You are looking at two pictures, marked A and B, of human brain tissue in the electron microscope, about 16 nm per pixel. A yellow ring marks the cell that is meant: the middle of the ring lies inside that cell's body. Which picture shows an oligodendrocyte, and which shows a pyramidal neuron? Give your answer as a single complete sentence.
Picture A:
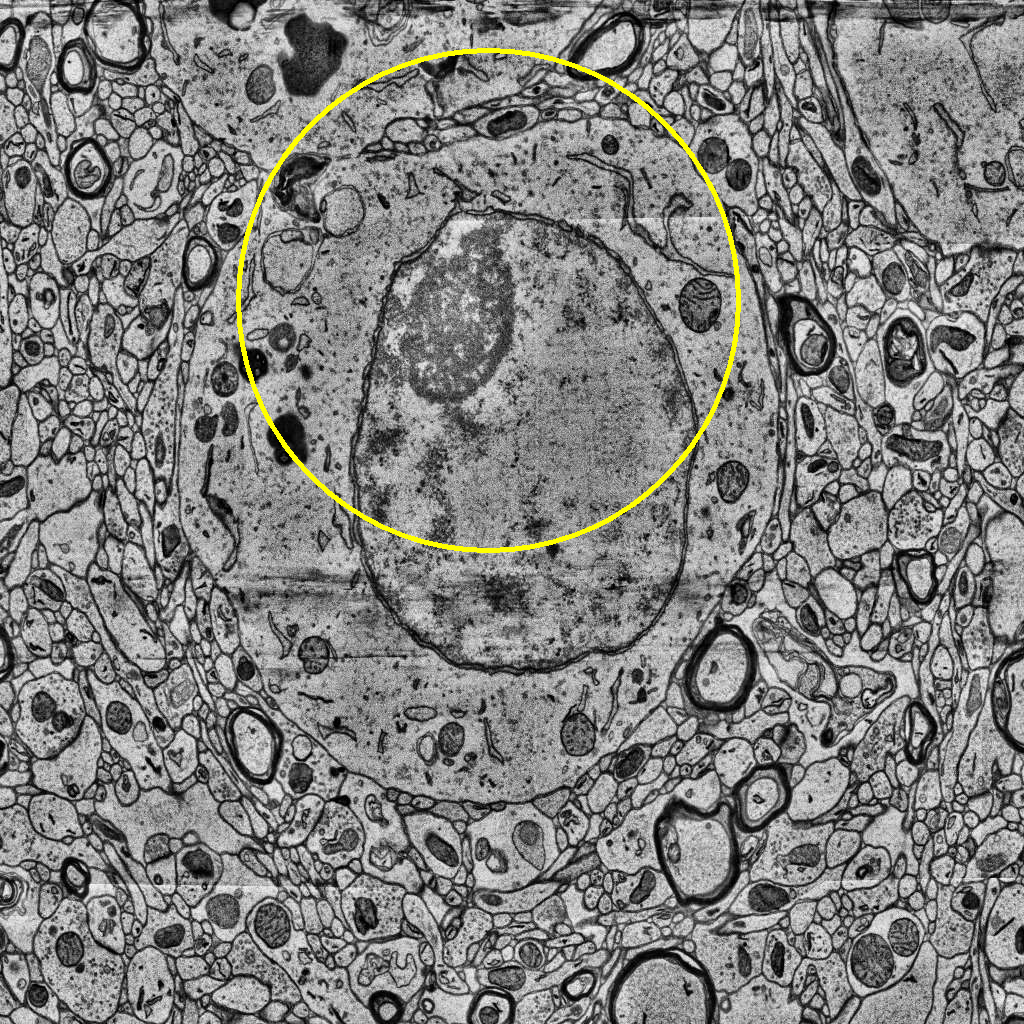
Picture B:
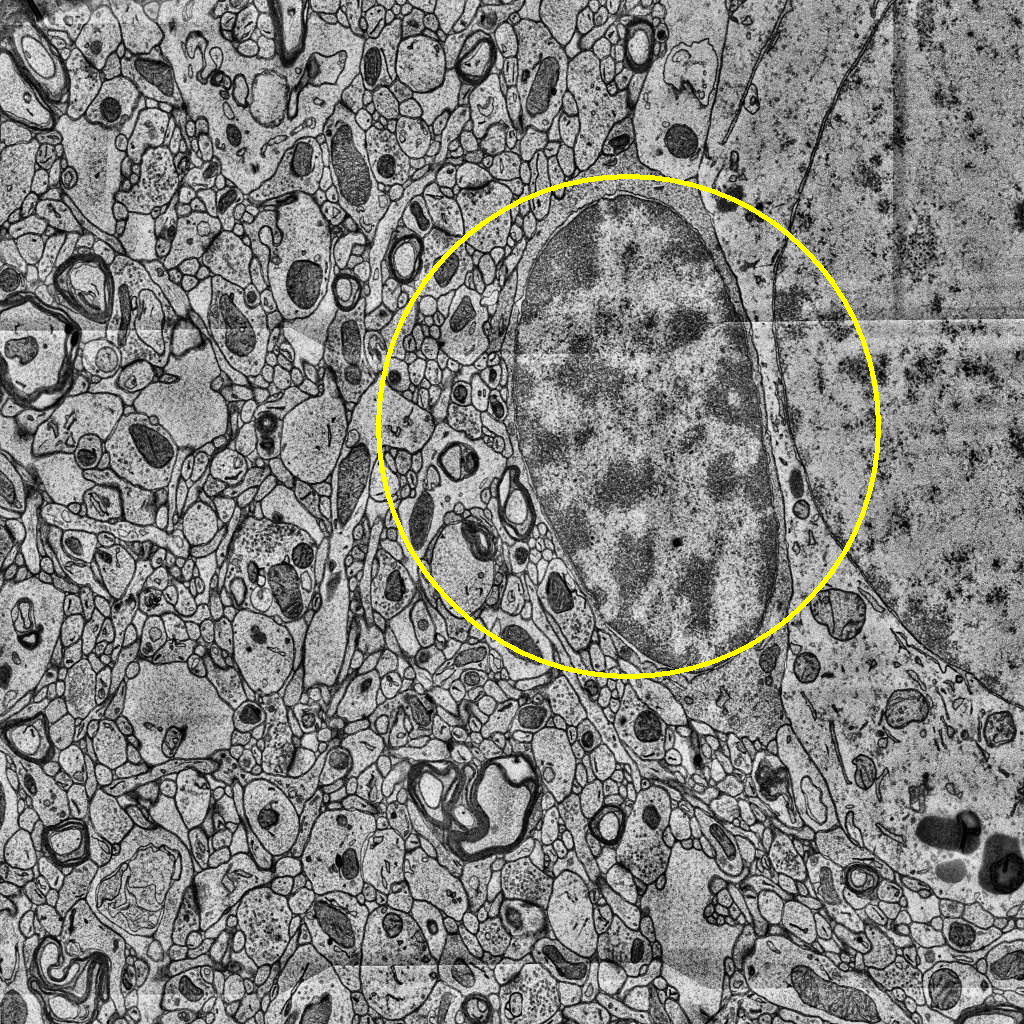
Picture A is of a pyramidal neuron, and picture B is of an oligodendrocyte.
